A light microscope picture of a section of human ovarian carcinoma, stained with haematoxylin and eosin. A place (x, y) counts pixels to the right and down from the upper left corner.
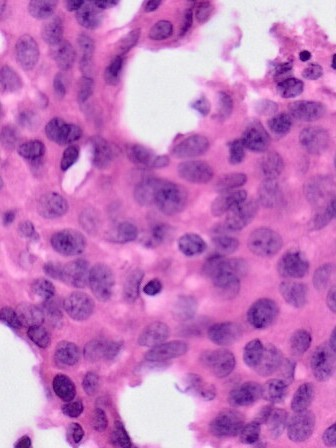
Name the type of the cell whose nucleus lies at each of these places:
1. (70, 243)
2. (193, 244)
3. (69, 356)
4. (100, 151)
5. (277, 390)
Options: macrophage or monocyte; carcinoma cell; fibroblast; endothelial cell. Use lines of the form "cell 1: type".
cell 1: carcinoma cell
cell 2: macrophage or monocyte
cell 3: carcinoma cell
cell 4: carcinoma cell
cell 5: macrophage or monocyte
